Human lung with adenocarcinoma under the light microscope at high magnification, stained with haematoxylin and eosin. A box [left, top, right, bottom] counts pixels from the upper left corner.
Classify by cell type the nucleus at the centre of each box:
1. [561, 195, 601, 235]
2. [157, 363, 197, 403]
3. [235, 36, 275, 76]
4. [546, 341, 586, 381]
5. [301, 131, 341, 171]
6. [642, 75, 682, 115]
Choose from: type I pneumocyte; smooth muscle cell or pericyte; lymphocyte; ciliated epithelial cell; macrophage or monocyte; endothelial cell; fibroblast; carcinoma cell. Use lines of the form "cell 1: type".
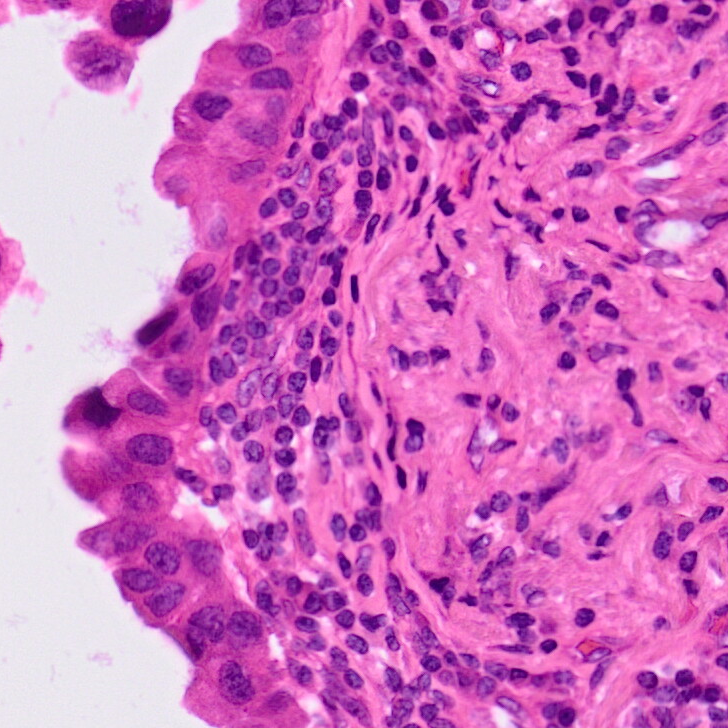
cell 1: lymphocyte
cell 2: carcinoma cell
cell 3: carcinoma cell
cell 4: lymphocyte
cell 5: lymphocyte
cell 6: lymphocyte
